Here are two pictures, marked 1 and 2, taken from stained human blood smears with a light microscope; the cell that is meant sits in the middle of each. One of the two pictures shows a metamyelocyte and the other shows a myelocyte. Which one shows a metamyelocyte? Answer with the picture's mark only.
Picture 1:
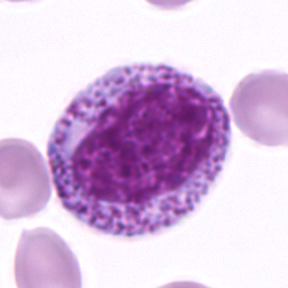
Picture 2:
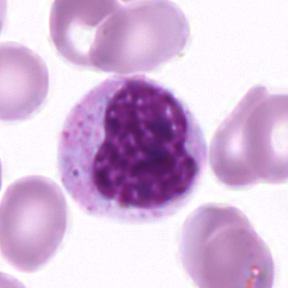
2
